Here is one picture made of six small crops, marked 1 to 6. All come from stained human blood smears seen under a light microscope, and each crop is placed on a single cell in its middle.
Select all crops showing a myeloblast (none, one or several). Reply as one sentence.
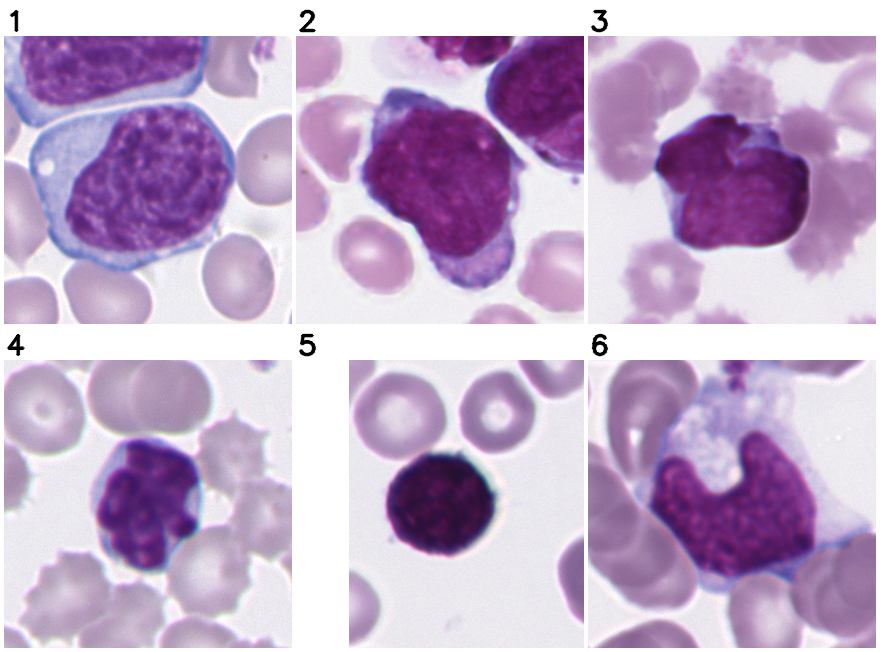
In this series, myeloblasts are shown by crops 1, 3 and 5.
